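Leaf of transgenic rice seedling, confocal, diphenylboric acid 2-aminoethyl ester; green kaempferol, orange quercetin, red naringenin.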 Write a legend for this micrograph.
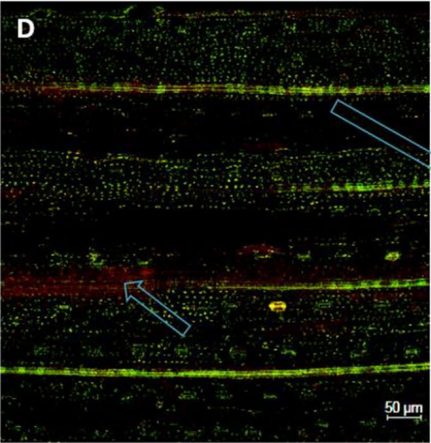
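Several narrow bands glow bright green, and between them lie rows of small green dots arranged in lines. Patches of red fluorescence lie along some of the bands, within the leaf lamella.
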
